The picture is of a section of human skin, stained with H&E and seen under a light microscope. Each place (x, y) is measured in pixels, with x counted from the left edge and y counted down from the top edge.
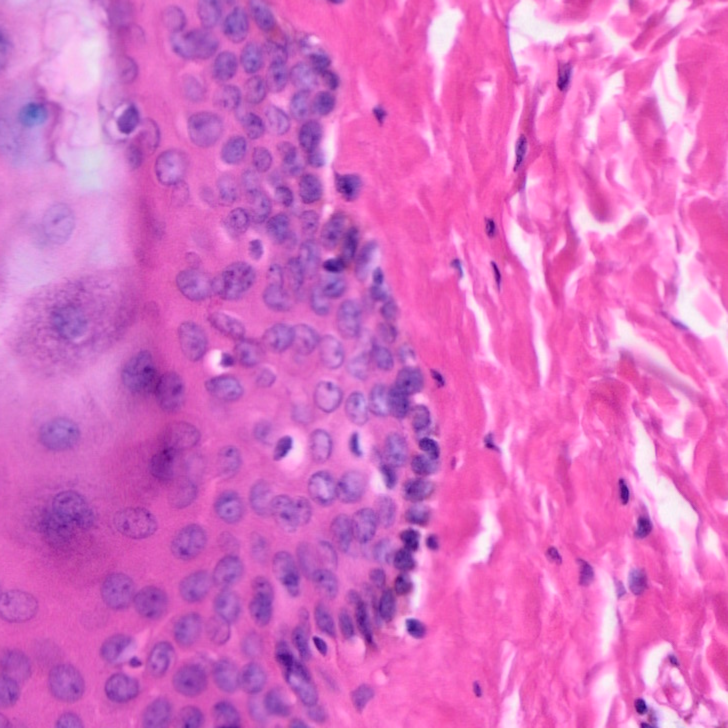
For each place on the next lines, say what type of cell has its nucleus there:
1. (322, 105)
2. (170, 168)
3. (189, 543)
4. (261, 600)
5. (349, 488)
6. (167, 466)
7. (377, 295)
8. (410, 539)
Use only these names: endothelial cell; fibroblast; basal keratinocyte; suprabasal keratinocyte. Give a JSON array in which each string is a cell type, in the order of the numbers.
["basal keratinocyte", "suprabasal keratinocyte", "suprabasal keratinocyte", "suprabasal keratinocyte", "suprabasal keratinocyte", "suprabasal keratinocyte", "basal keratinocyte", "basal keratinocyte"]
